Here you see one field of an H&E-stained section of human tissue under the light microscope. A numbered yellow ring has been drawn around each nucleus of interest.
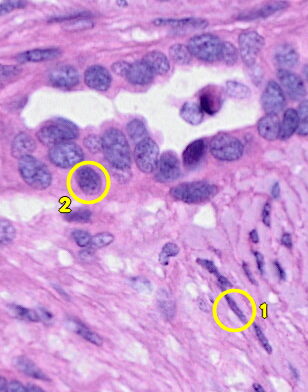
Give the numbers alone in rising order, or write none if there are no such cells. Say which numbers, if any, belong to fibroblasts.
1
